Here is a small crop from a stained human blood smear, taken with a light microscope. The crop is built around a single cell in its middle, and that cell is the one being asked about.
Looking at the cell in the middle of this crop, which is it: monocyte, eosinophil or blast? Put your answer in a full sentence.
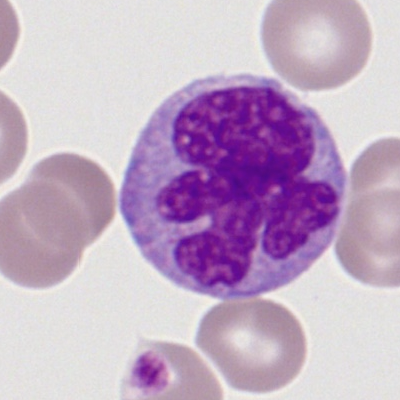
The cell under consideration, at the middle of the crop, is a monocyte.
